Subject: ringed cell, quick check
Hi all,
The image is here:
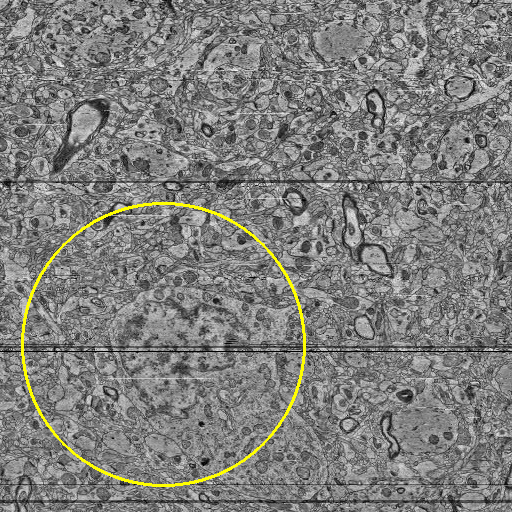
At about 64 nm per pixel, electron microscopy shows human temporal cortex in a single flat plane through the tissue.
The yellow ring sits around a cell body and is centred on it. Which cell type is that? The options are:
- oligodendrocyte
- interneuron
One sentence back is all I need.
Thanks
That ringed cell is an interneuron.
